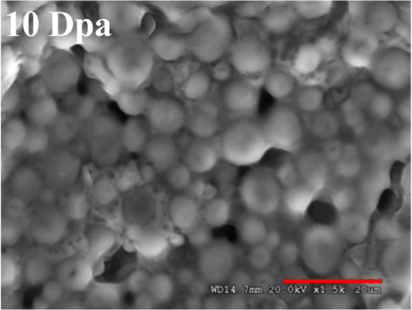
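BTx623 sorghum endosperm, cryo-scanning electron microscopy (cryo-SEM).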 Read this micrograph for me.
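The field is crowded with many small, smooth, rounded granules, most only a few micrometres across, lying side by side like a bed of beads. A few larger rounded bodies stand out among the small ones. Between the granules there are dark gaps and small cavities where the fracture has pulled material apart.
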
